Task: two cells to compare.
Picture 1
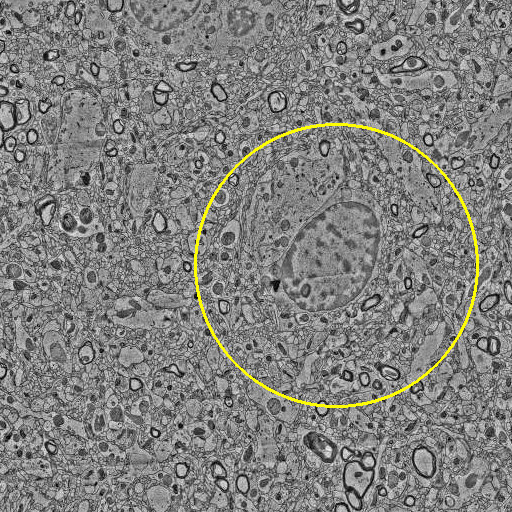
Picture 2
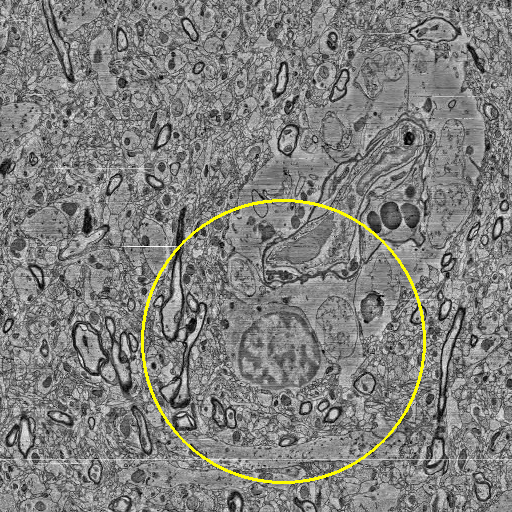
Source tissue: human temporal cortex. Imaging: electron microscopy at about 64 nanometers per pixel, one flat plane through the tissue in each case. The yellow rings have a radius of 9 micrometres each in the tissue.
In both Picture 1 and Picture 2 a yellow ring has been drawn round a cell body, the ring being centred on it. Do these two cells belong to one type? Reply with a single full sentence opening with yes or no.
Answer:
Yes, the two cells at the ring centres in Picture 1 and Picture 2 share one type.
